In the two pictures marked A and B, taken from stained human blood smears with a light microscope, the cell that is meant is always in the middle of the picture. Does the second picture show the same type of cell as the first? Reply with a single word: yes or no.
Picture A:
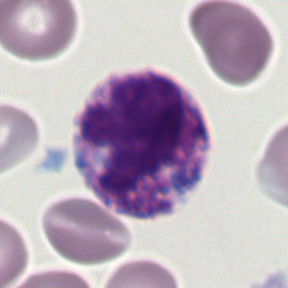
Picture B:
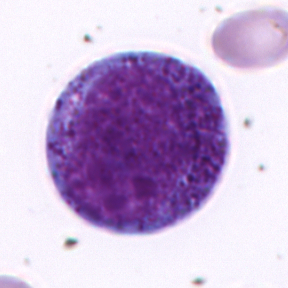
no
